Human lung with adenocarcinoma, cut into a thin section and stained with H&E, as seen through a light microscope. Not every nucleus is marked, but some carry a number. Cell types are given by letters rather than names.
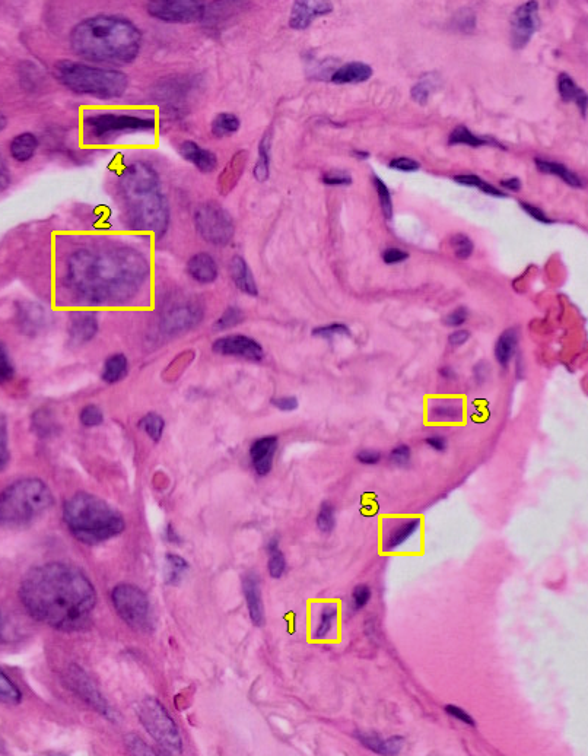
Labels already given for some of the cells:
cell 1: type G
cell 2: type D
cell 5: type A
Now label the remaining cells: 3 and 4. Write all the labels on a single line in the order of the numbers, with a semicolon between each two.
type G; type D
